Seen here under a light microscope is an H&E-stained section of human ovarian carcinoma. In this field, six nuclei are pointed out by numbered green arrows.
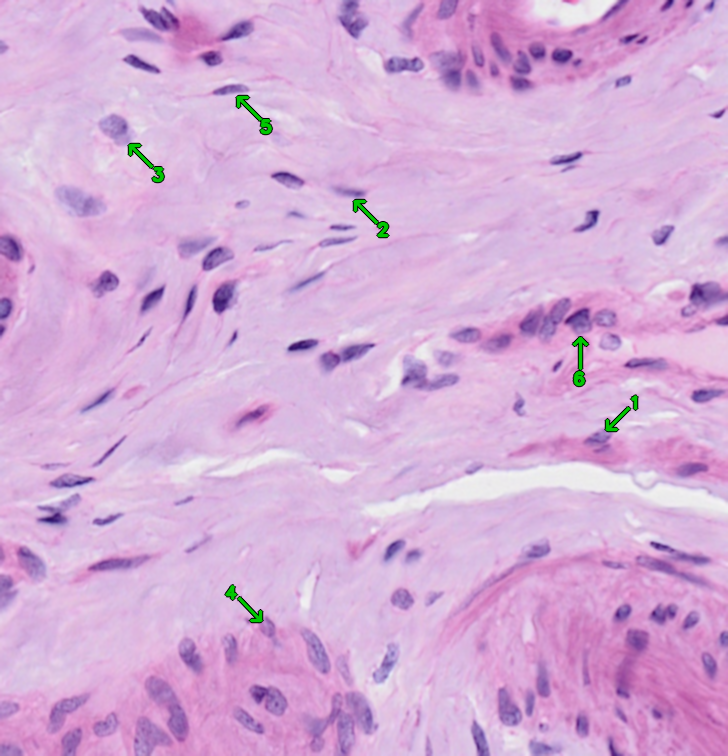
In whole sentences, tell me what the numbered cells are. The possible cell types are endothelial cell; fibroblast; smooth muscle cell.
Cells 1 and 4 are smooth muscle cells. Cells 2, 3 and 5 are fibroblasts. Cell 6 is an endothelial cell.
